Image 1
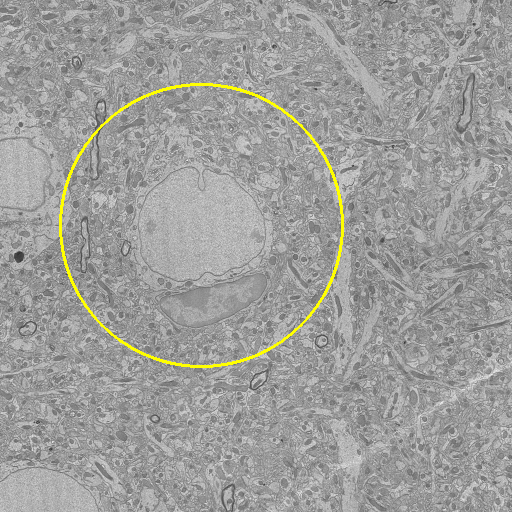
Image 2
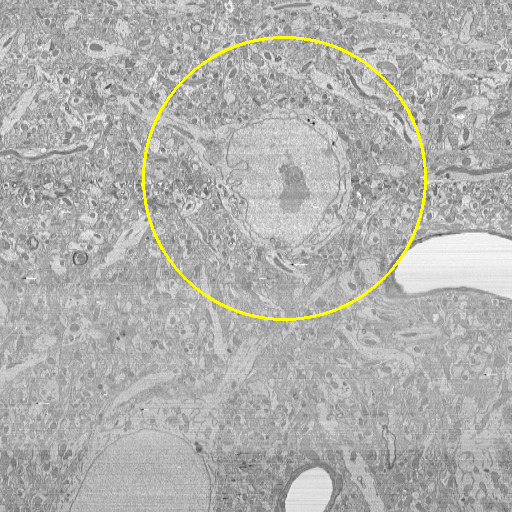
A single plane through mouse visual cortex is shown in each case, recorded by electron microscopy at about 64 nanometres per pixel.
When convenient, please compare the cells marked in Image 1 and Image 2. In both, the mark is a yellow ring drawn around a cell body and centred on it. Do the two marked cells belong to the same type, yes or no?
no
